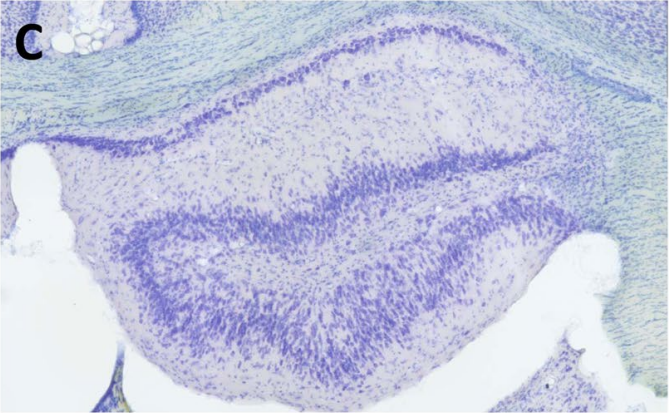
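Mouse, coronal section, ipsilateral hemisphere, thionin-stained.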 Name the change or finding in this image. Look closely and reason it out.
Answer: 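The V-shaped inner cell band is widened and loose, with cells spread in radial streaks. The band lacks a sharp compact border. The answer: granule cell dispersion.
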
